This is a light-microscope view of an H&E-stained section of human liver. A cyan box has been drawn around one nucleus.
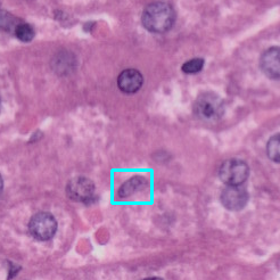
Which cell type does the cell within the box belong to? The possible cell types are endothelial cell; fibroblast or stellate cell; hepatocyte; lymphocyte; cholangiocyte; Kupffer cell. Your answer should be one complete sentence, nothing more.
As far as its identity is concerned, the cell within the box is a Kupffer cell.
